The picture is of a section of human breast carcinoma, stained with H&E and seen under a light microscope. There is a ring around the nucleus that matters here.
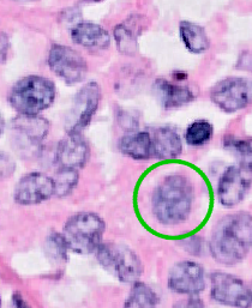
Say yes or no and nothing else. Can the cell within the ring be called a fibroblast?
no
